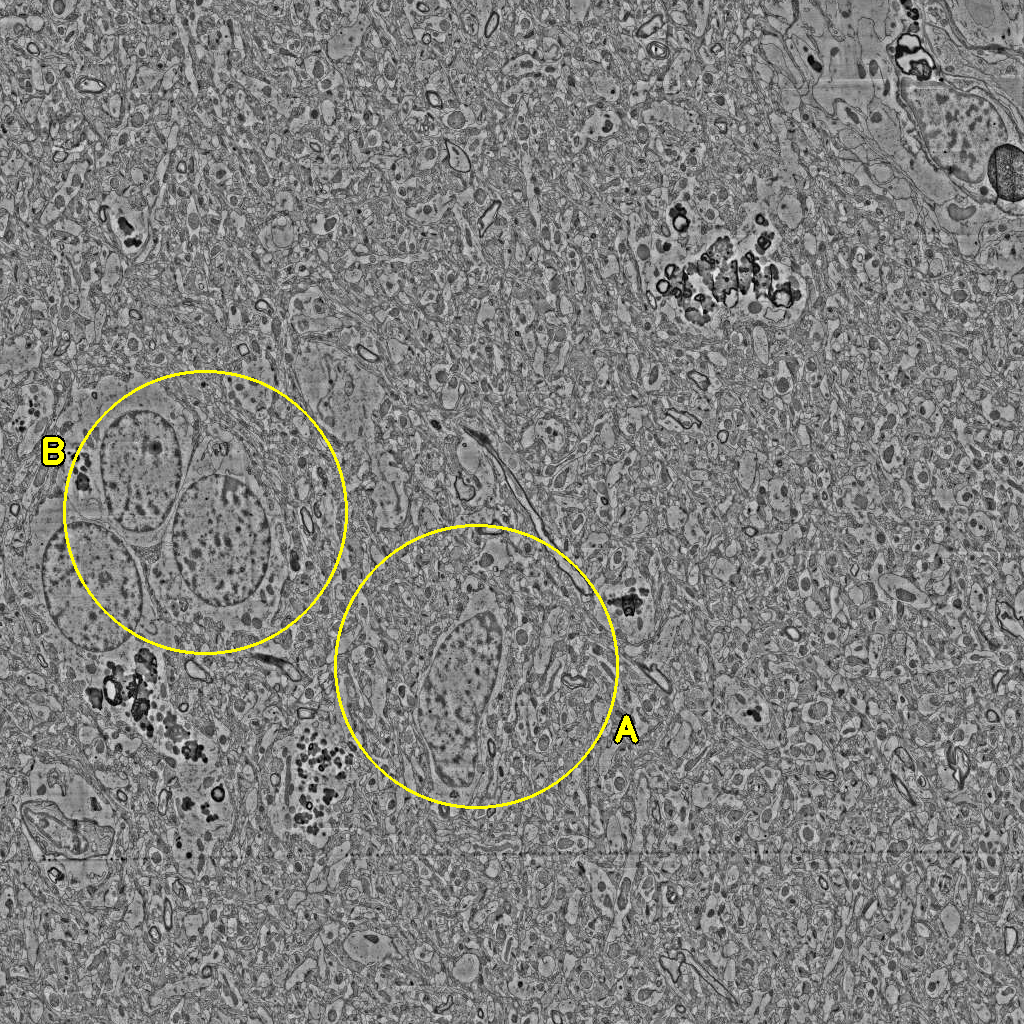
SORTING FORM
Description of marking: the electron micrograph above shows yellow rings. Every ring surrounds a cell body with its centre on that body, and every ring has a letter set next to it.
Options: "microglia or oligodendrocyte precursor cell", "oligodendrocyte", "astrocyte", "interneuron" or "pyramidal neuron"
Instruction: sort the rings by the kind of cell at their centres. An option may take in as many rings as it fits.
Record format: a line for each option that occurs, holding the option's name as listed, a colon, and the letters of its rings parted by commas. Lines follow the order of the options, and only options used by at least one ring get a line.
microglia or oligodendrocyte precursor cell: A
astrocyte: B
